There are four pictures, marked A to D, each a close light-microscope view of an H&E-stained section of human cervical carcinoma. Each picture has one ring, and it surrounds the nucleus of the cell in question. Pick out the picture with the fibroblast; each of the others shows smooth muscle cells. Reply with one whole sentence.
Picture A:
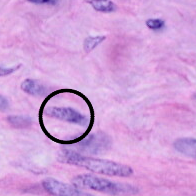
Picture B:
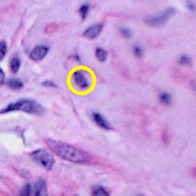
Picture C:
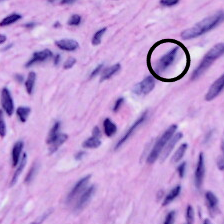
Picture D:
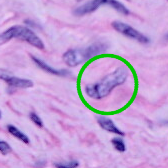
The cell in picture C is the fibroblast.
